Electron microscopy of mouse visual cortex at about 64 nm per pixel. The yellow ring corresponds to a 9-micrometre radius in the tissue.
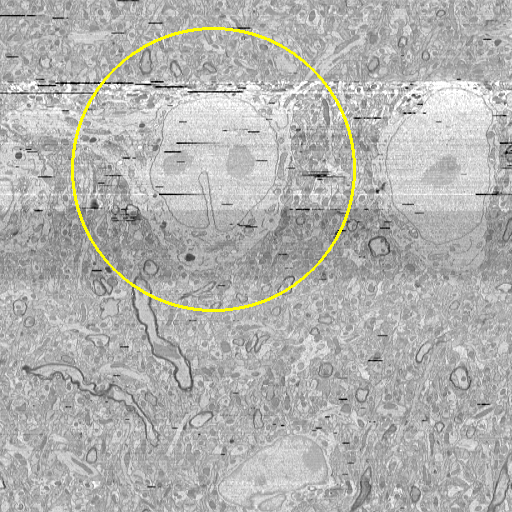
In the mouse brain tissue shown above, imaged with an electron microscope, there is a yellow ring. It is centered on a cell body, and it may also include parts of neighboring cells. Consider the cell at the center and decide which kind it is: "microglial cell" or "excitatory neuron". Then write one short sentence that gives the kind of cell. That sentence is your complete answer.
This centered cell body is that of an excitatory neuron.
